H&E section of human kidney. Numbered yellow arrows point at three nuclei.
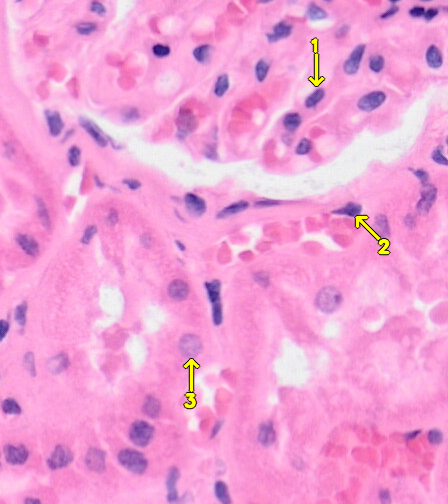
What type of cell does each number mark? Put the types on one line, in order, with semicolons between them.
endothelial cell; endothelial cell; proximal tubule cell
